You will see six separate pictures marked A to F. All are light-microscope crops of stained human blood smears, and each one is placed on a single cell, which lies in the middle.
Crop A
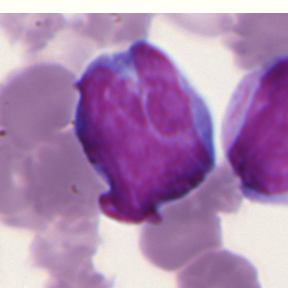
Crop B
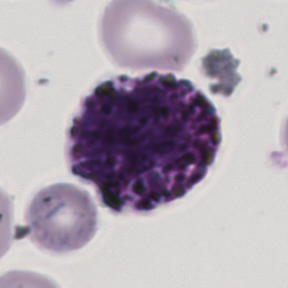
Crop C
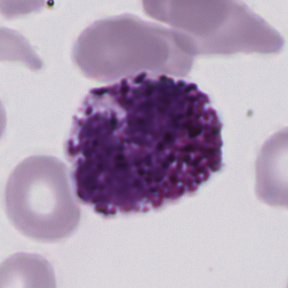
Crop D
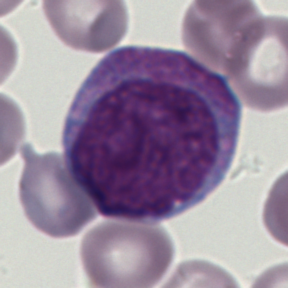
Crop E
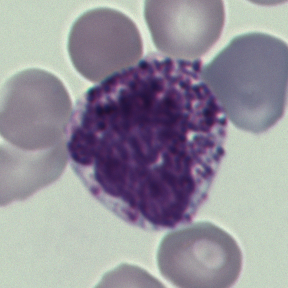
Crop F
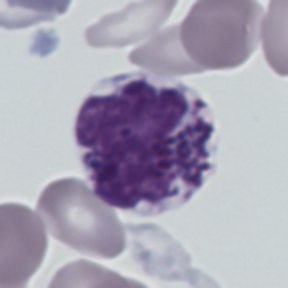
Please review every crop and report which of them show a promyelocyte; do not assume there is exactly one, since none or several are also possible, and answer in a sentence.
Of all the crops, only crop D shows a promyelocyte.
